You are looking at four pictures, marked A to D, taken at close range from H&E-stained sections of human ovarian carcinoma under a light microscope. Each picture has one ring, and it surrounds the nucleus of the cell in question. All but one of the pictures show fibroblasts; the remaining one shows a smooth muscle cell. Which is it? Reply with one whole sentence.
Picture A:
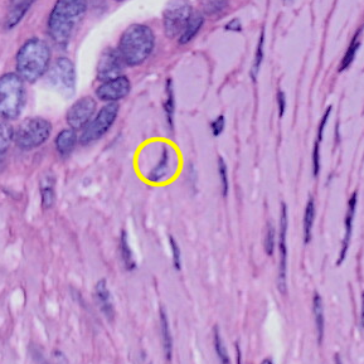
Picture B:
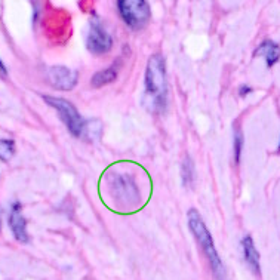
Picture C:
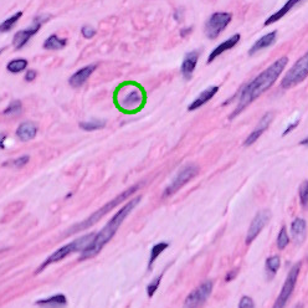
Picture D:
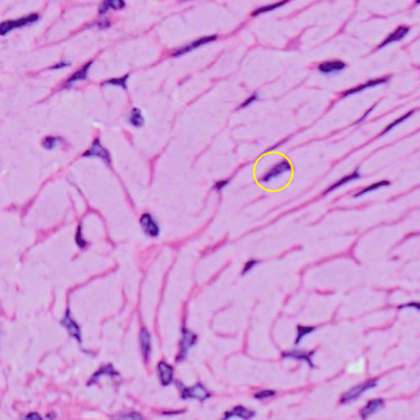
The smooth muscle cell is the one in picture C.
